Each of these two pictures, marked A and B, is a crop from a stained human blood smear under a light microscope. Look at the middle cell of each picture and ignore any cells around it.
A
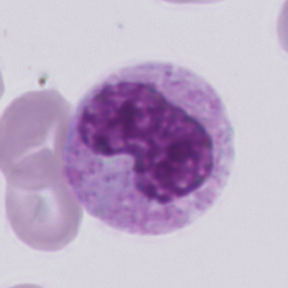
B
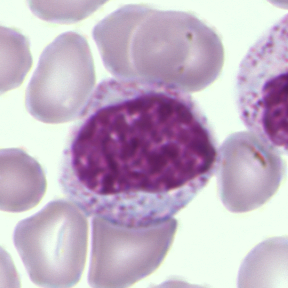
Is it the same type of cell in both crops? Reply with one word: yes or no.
yes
